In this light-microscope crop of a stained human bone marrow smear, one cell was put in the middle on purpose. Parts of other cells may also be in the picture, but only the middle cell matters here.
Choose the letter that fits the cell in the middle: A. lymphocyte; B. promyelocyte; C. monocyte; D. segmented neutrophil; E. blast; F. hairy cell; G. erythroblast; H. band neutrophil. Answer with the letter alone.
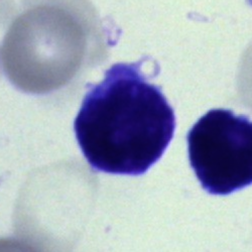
E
